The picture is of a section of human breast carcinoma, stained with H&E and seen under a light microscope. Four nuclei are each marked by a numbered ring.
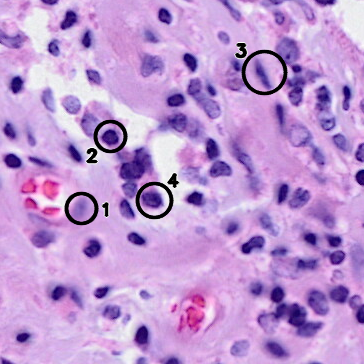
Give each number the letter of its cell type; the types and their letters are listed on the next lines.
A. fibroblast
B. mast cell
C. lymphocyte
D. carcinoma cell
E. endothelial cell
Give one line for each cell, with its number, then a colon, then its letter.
1: E
2: C
3: C
4: C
